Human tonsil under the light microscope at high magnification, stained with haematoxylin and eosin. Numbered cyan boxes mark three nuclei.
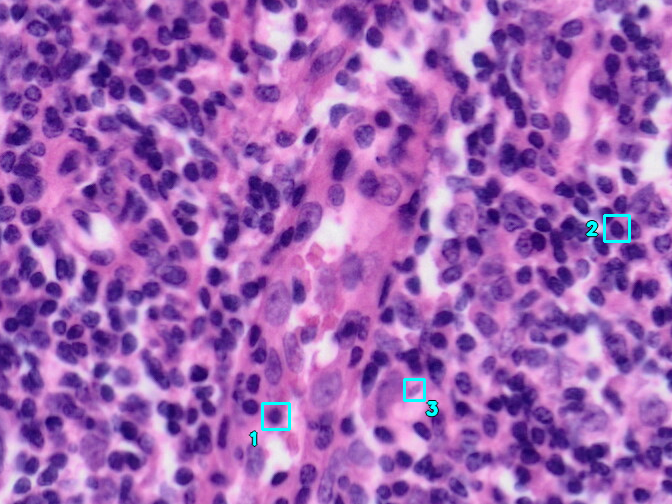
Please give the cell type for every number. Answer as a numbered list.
1. endothelial cell
2. small lymphocyte
3. endothelial cell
